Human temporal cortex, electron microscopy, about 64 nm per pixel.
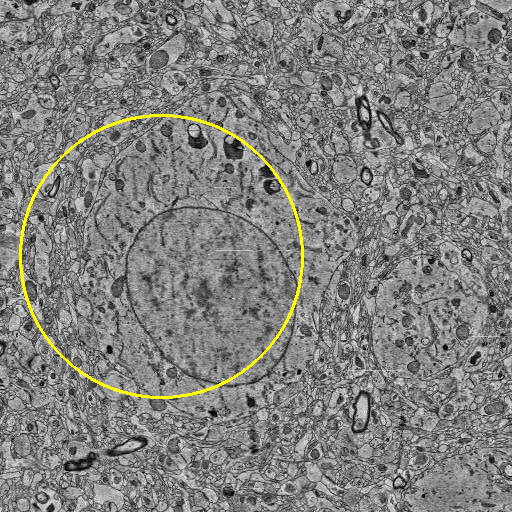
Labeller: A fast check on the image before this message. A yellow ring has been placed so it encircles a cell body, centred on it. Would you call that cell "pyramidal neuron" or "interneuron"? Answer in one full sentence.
In this image, a pyramidal neuron is the cell on which the yellow ring is centred.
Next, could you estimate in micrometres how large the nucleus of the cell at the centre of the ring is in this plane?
The nucleus has a long axis of about 13 micrometres and a short axis of about 10 micrometres in this plane.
